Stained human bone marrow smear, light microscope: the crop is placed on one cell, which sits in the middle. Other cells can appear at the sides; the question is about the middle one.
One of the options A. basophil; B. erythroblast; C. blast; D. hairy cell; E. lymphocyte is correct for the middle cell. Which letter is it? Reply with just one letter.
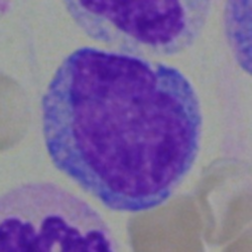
C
